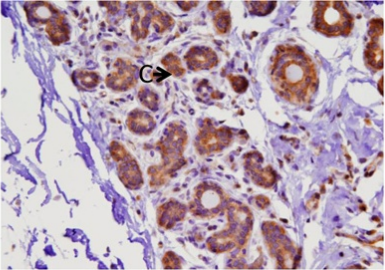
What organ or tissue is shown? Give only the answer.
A: Normal breast tissues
